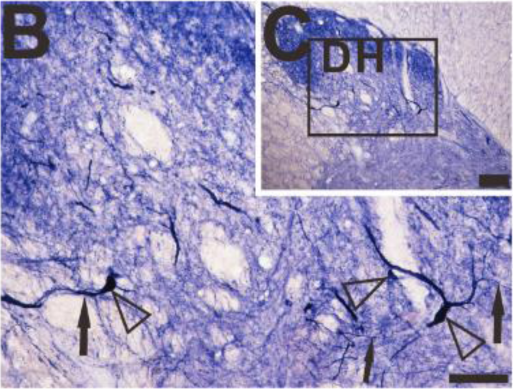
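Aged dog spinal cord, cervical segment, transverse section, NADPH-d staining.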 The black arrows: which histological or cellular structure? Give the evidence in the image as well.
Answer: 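The threads are continuous with the stained cell bodies' branches. That points to this answer: normal fibers.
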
